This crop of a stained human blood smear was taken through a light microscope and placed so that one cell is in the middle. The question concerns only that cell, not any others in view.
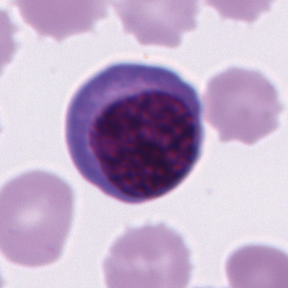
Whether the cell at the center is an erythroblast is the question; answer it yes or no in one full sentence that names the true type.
Yes, the cell in the middle is rightly called an erythroblast.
